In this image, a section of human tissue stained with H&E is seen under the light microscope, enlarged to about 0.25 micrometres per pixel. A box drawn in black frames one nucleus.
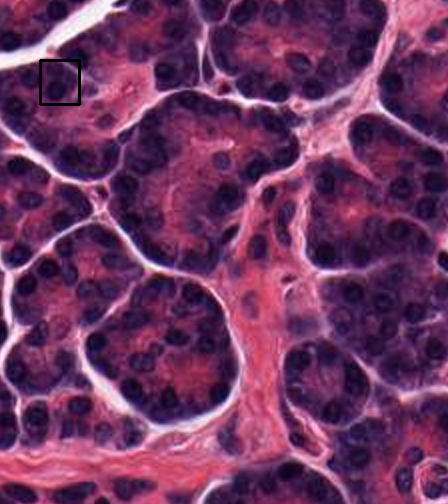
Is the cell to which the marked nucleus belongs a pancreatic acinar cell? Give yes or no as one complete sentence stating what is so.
Yes, the nucleus picked out by the mark belongs to a pancreatic acinar cell.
